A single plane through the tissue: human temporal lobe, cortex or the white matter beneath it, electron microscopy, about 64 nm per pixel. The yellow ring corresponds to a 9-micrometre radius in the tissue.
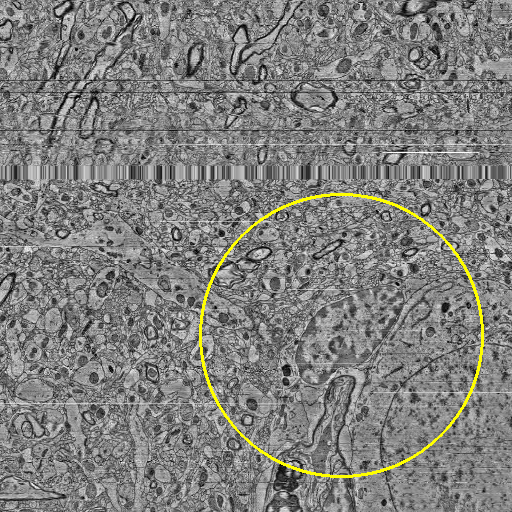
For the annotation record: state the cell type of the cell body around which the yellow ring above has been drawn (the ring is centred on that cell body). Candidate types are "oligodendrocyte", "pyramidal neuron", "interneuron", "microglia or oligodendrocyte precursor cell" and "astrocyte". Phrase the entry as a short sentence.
The ringed cell is a microglial cell or oligodendrocyte precursor cell.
